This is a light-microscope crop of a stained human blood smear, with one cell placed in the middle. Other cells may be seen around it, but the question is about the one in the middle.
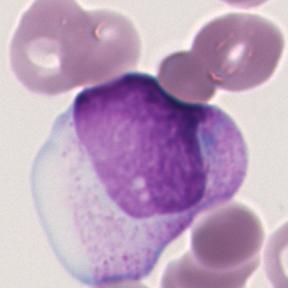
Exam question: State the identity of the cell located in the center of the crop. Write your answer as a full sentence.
The cell under consideration, at the middle of the crop, is an atypical promyelocyte.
